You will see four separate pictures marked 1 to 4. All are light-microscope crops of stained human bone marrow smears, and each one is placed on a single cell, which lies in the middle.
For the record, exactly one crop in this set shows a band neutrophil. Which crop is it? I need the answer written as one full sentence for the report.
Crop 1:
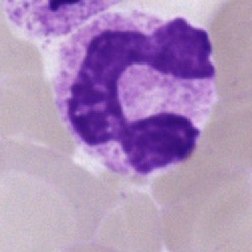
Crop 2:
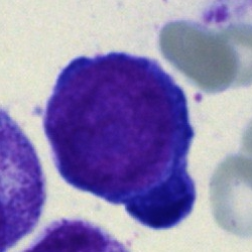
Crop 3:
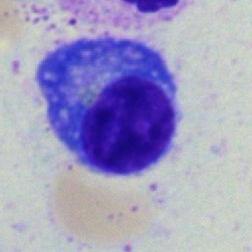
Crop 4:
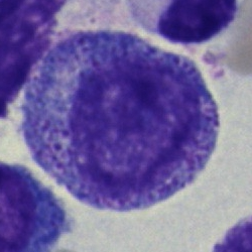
As for which crop shows a band neutrophil, it is crop 1.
